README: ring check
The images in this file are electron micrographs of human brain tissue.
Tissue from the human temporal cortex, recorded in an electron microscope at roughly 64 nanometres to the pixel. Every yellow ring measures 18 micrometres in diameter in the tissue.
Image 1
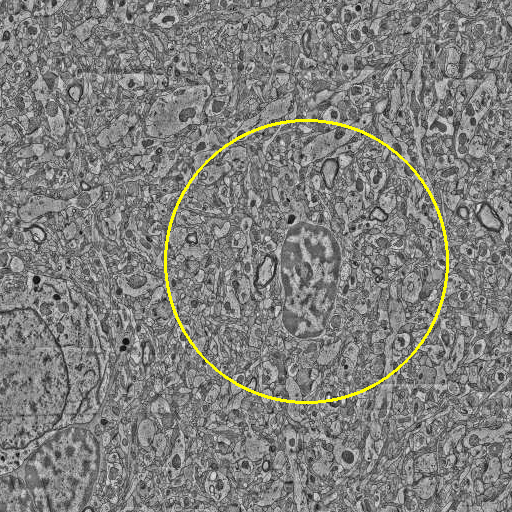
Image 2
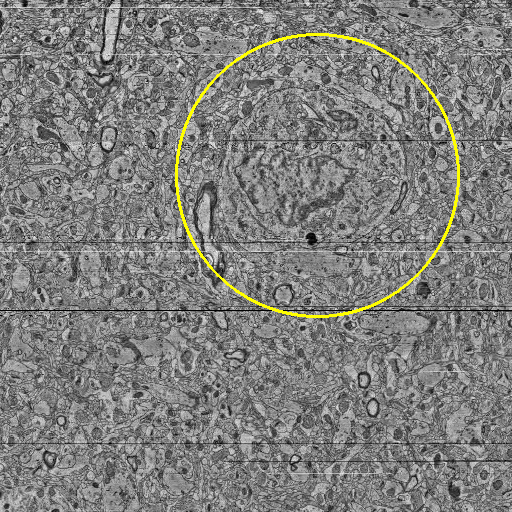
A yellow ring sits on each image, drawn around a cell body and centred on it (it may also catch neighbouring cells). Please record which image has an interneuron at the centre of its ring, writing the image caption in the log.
Image 2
